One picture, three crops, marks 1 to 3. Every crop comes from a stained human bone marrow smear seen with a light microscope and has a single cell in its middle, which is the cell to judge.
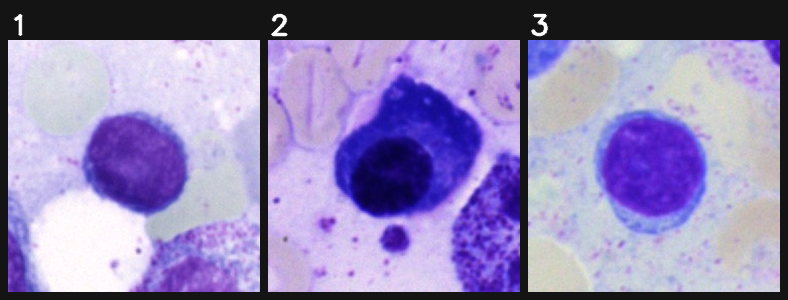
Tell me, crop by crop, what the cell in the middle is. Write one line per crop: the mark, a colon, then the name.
1: lymphocyte
2: plasma cell
3: lymphocyte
